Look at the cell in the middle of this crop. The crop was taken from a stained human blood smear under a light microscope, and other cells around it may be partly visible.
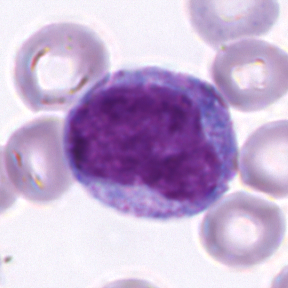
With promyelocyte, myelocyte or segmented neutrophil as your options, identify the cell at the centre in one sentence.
In the central position of this crop, the cell is a promyelocyte.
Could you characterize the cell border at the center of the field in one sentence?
The outline traces a smooth curve with no projections along it.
